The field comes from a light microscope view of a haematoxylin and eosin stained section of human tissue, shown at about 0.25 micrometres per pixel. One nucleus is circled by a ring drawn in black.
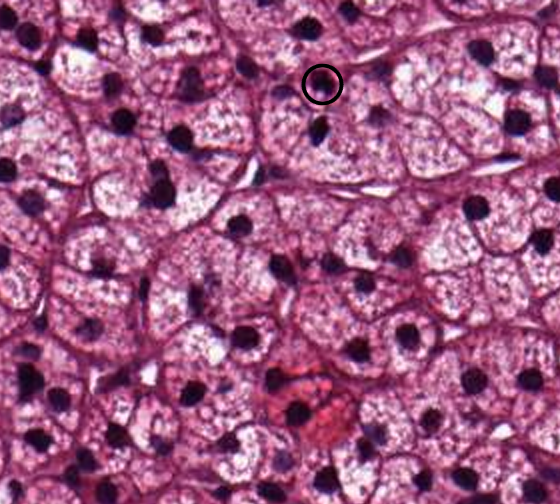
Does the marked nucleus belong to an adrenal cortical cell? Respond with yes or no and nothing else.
yes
